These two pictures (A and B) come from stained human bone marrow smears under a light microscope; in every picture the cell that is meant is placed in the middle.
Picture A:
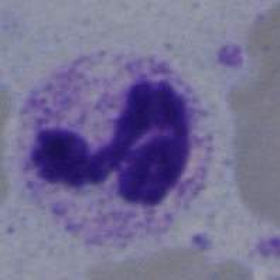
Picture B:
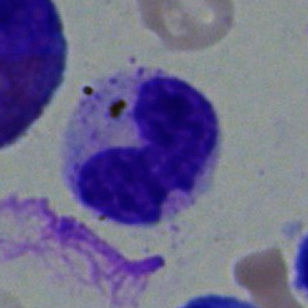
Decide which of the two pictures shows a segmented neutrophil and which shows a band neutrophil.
A: segmented neutrophil
B: band neutrophil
